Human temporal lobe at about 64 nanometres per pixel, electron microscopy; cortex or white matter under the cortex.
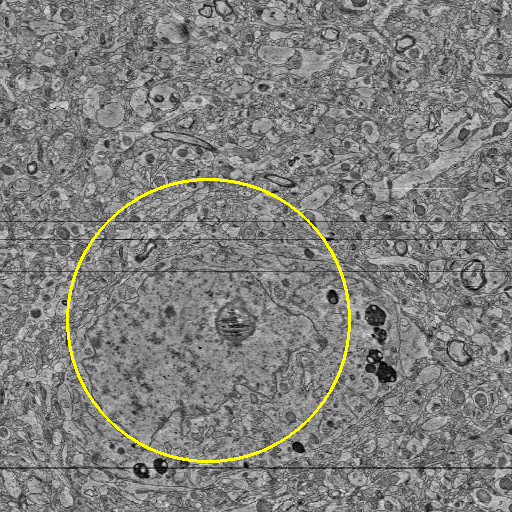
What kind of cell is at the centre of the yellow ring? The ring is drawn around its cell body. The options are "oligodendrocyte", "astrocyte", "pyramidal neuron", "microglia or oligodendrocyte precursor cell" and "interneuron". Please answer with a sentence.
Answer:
The yellow ring marks the cell body of an interneuron.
